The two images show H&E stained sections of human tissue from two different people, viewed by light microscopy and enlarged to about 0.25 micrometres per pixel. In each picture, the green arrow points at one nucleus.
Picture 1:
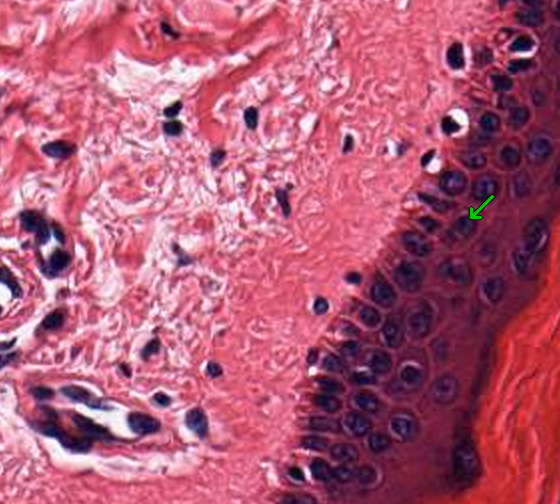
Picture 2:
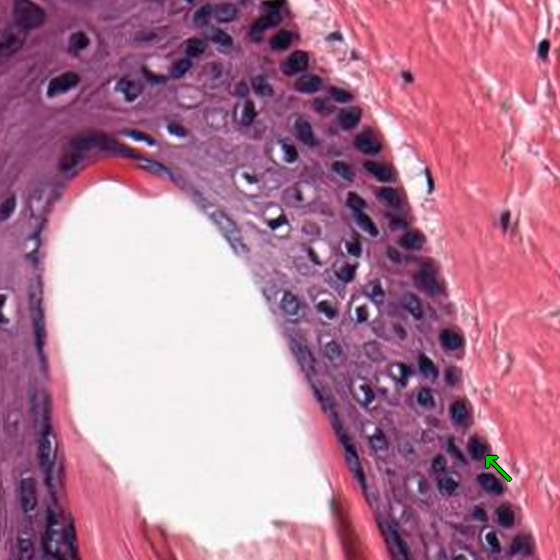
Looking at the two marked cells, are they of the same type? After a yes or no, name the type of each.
Yes, both are keratinocytes.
